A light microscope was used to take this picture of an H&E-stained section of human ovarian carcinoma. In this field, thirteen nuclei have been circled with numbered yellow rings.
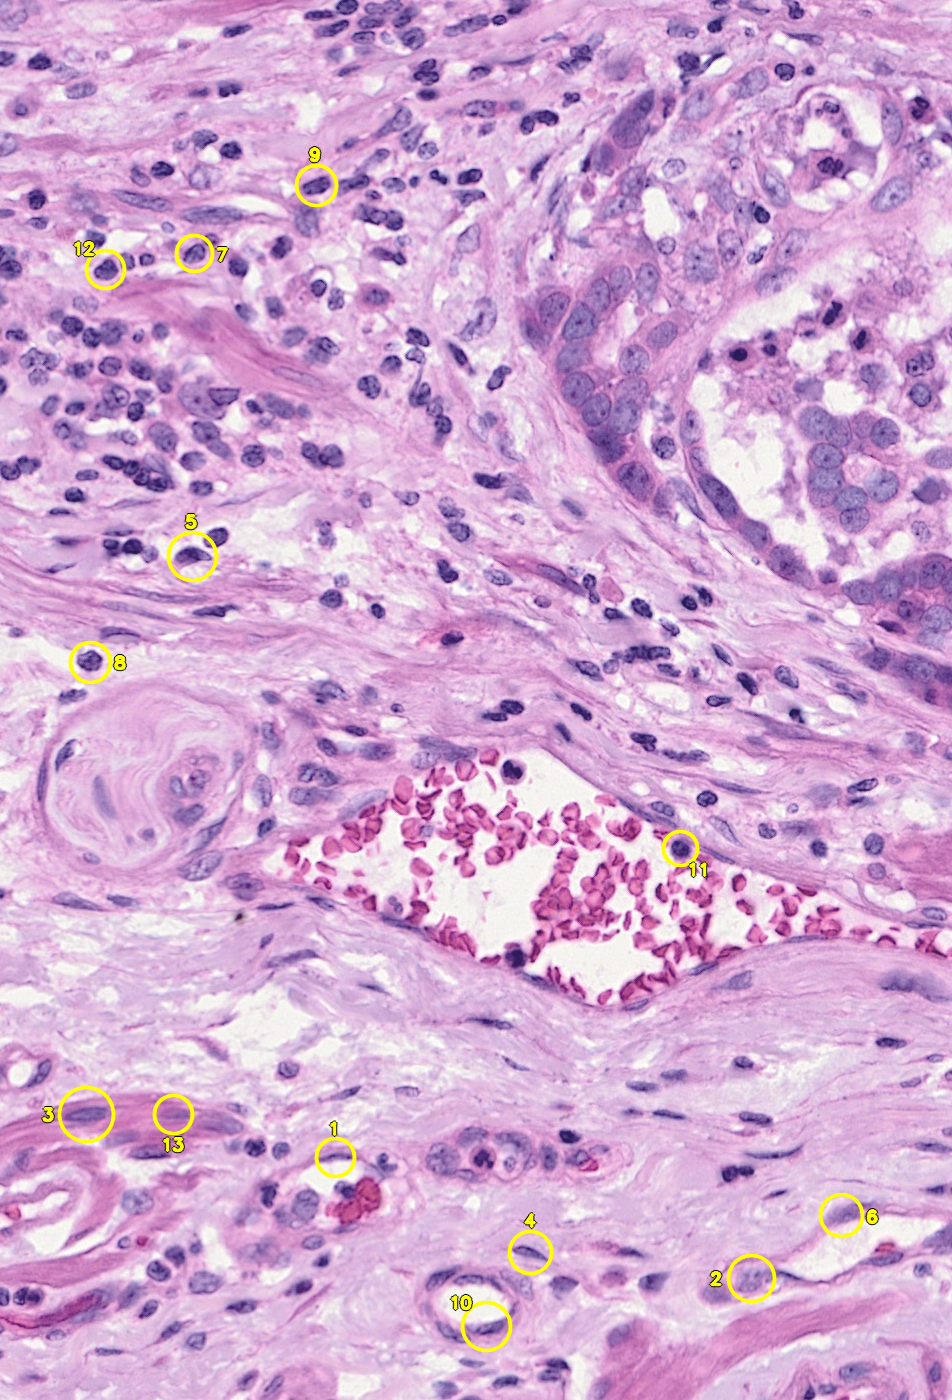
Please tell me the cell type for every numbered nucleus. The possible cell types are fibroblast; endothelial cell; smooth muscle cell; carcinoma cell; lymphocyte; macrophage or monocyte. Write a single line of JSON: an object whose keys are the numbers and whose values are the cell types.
{"1": "endothelial cell", "2": "endothelial cell", "3": "smooth muscle cell", "4": "fibroblast", "5": "lymphocyte", "6": "endothelial cell", "7": "lymphocyte", "8": "lymphocyte", "9": "lymphocyte", "10": "endothelial cell", "11": "lymphocyte", "12": "lymphocyte", "13": "smooth muscle cell"}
